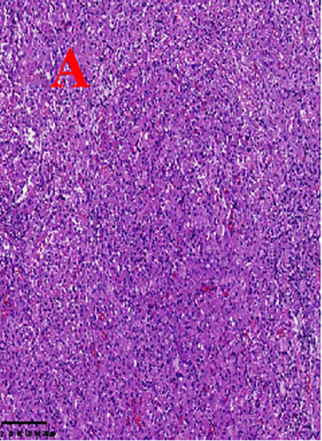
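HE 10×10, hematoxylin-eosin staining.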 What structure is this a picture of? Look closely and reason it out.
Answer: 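Cells fill the whole field as a continuous sheet. No glands, nests or lobules separate the cells.
Sheet-like pattern.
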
